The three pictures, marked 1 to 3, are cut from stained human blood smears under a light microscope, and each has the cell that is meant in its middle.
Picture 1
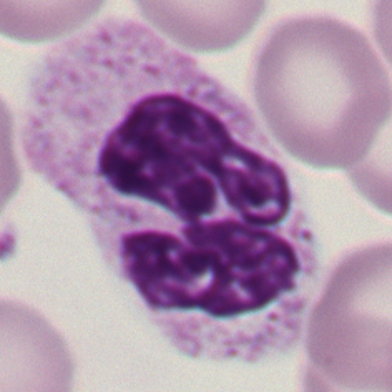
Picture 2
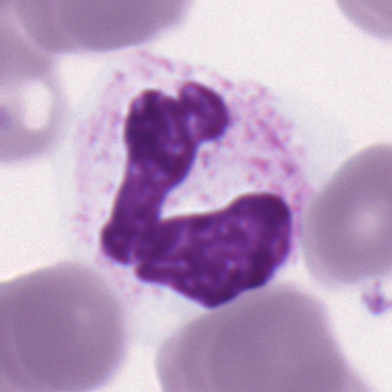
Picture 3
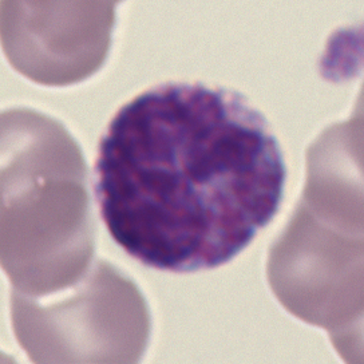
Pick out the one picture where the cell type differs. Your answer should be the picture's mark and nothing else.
3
